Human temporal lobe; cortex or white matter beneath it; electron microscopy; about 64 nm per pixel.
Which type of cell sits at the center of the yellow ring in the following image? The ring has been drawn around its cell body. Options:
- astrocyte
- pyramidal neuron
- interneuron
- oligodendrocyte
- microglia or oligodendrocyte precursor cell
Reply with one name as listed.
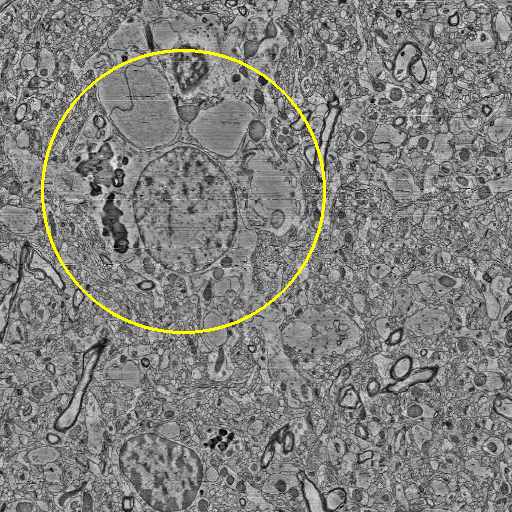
astrocyte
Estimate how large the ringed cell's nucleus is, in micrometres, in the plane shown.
Roughly 8 micrometres by 7 micrometres, in this plane.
